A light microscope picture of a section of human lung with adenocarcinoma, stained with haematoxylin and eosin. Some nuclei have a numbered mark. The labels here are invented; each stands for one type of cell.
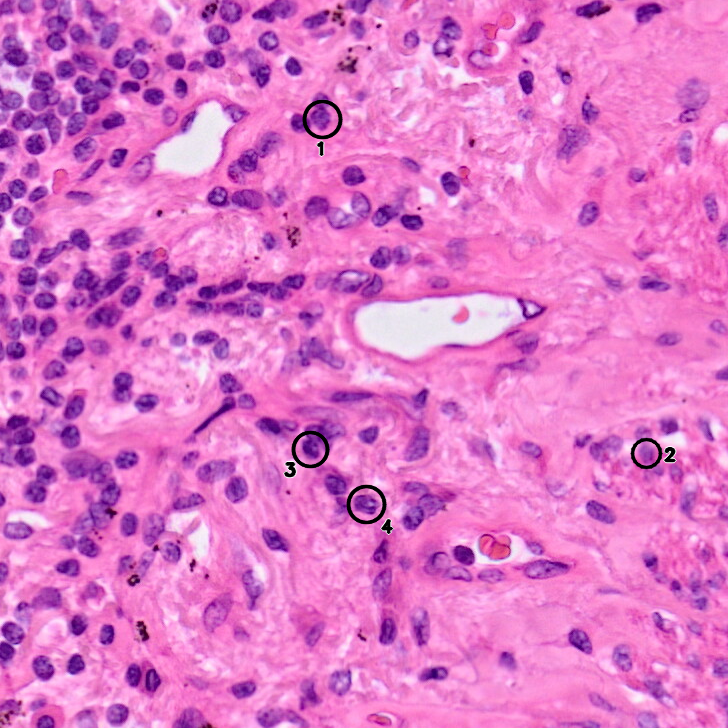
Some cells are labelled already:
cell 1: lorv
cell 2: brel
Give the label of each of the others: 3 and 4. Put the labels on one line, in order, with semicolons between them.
lorv; lorv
